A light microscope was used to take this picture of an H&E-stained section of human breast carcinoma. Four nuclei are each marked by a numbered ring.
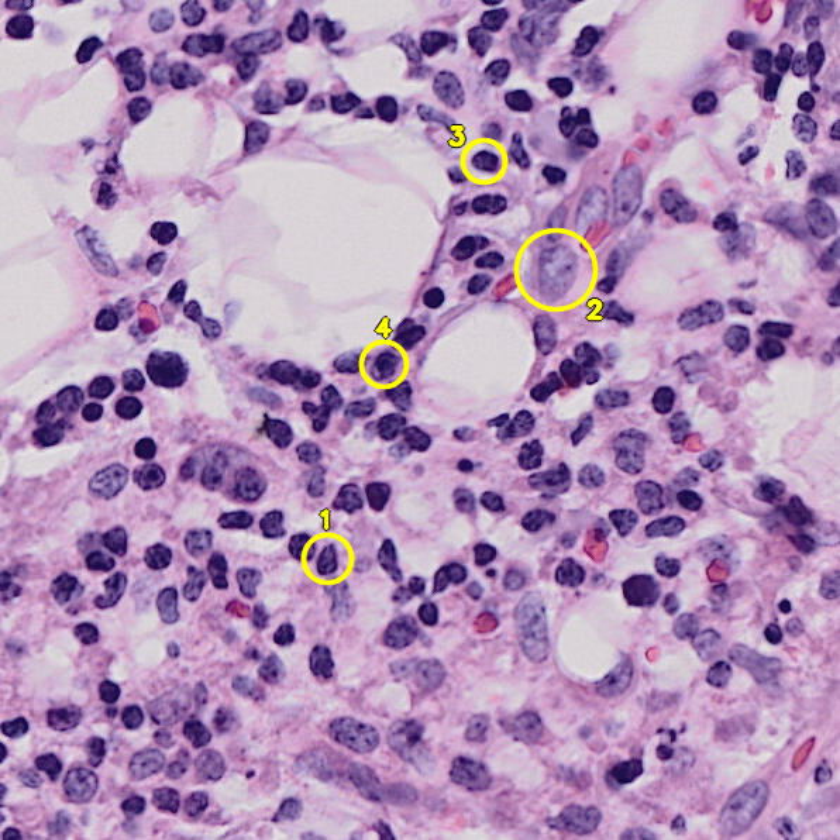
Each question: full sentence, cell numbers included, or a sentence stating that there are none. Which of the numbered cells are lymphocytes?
The identity of cells 1, 3 and 4: they are lymphocytes.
